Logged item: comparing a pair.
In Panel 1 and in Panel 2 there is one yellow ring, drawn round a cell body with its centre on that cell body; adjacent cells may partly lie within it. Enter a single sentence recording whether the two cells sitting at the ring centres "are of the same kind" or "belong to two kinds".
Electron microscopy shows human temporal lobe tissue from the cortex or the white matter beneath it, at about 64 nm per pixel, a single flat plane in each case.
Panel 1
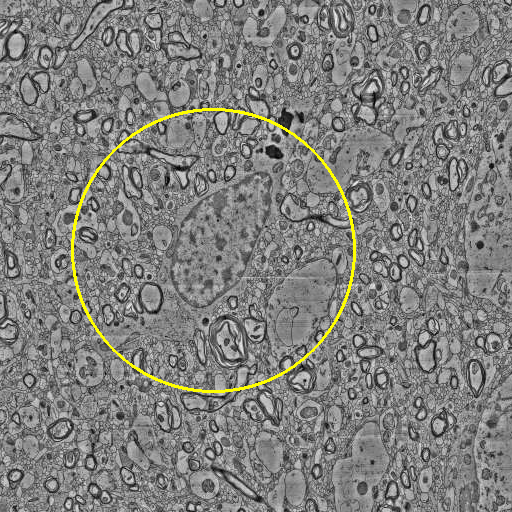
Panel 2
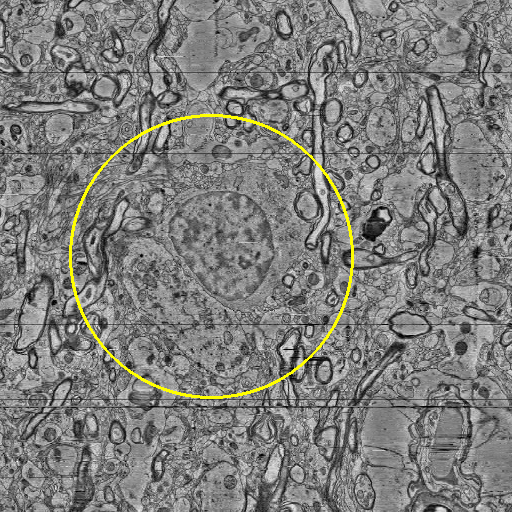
Logged: the cells centred in the rings of Panel 1 and Panel 2 are of the same kind.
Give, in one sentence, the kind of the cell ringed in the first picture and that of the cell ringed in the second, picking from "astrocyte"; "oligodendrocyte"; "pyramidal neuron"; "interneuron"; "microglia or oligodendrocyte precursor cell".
Each cell at the centre of a ring is an oligodendrocyte.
